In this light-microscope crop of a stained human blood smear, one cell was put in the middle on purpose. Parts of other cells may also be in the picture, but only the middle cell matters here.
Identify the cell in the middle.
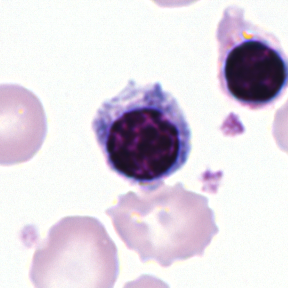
erythroblast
